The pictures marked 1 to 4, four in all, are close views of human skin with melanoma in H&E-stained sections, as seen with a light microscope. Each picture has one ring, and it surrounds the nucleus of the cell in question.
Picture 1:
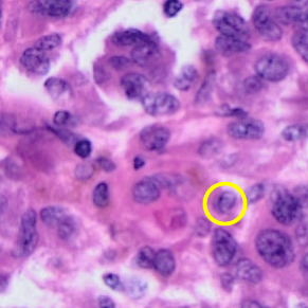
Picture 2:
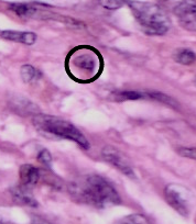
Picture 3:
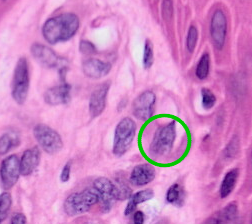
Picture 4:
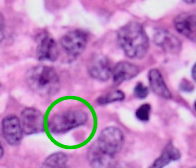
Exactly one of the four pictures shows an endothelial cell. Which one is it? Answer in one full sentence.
Picture 3 shows the endothelial cell.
